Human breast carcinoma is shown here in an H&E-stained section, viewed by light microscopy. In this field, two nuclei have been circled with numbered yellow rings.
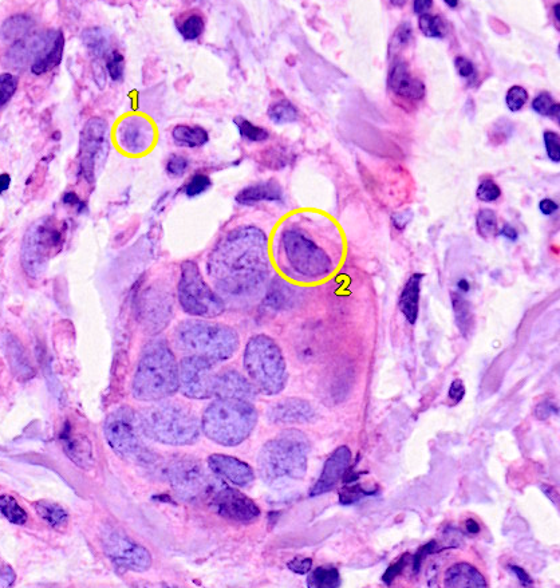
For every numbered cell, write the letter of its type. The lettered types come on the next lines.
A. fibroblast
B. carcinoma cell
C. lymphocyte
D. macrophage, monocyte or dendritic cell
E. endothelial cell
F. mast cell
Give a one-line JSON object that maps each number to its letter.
{"1": "D", "2": "B"}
